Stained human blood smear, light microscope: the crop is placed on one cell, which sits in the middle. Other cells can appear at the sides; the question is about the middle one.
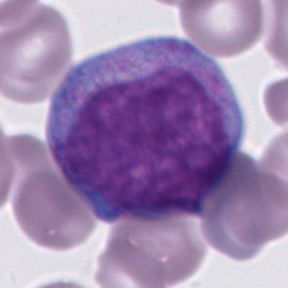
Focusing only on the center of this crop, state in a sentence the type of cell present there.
At the middle of the frame sits a promyelocyte.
